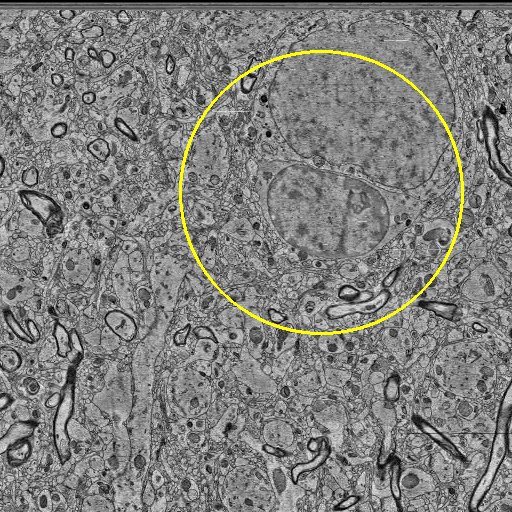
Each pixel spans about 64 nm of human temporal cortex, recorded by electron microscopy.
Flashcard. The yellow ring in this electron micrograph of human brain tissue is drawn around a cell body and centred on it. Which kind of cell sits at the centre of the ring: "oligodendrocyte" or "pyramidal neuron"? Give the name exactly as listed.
oligodendrocyte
